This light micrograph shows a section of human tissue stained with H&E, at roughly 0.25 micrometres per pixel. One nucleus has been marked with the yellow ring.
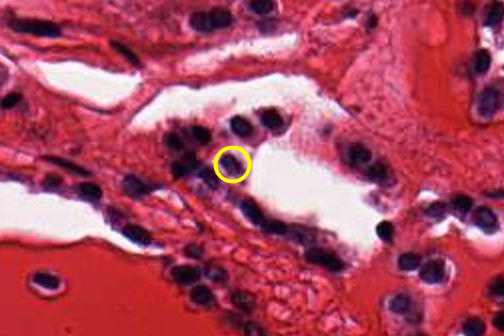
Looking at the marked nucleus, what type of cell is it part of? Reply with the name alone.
thyroid follicular cell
